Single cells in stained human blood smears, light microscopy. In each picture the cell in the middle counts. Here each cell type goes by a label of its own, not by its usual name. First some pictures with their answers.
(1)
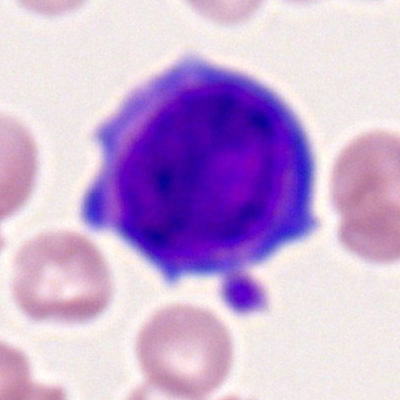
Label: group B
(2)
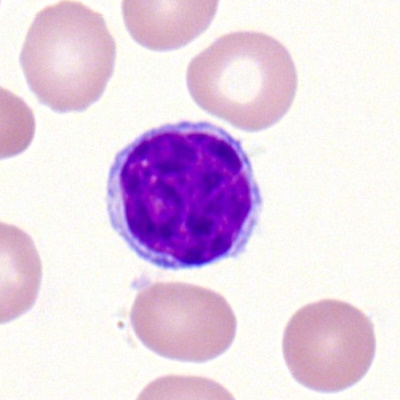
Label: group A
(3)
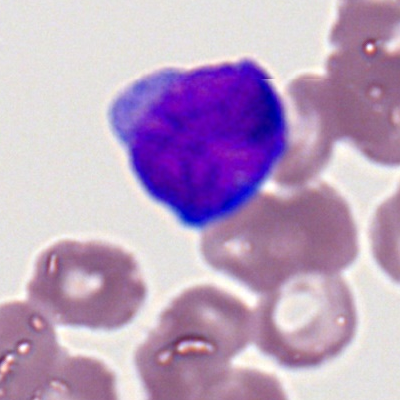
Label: group B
